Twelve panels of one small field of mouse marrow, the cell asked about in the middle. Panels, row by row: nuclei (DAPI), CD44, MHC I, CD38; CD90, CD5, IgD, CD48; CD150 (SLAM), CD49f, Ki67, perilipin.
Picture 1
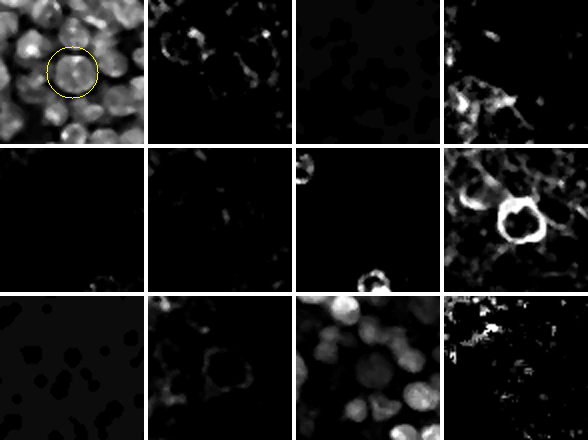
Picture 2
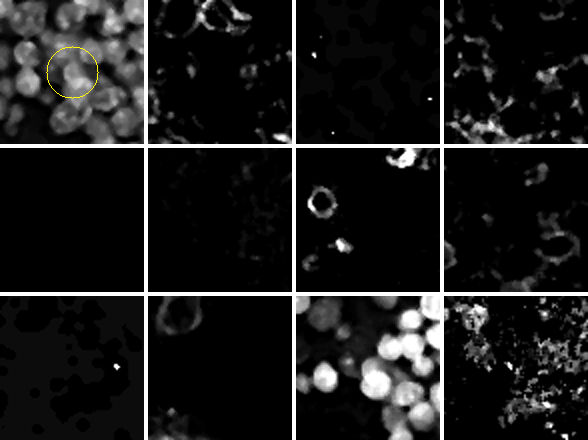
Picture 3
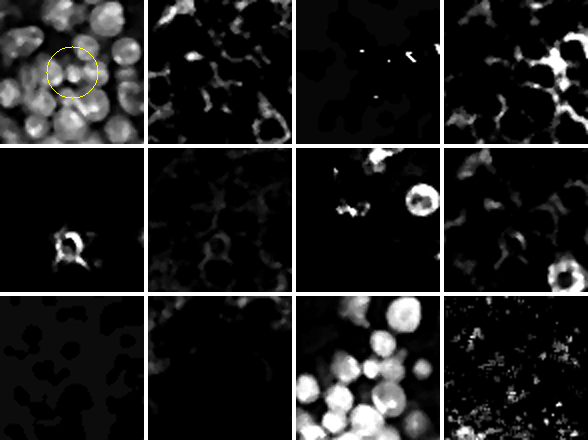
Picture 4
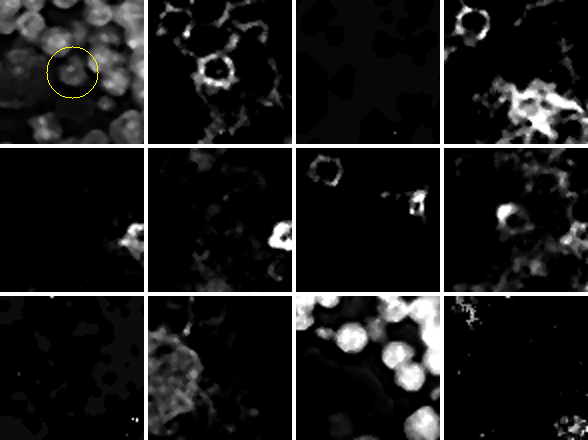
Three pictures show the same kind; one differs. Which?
Picture 4: a monocyte, while the others are erythroblasts.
